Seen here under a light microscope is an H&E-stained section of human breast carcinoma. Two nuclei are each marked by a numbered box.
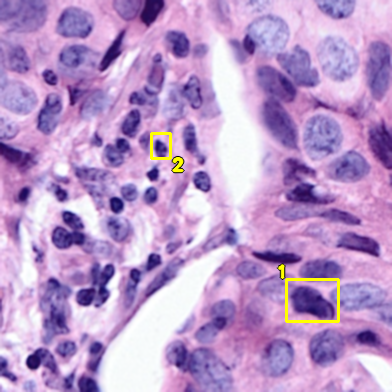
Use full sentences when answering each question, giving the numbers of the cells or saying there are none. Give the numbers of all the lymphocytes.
The cell bearing the number 2 is a lymphocyte, unlike the rest of the numbered cells.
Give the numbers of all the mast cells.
None among the numbered cells are mast cells.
